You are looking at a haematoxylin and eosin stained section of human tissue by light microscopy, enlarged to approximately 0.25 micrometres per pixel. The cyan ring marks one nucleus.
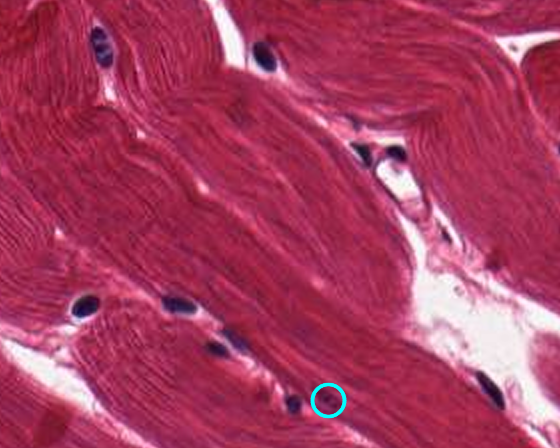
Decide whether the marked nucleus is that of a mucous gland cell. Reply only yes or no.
no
